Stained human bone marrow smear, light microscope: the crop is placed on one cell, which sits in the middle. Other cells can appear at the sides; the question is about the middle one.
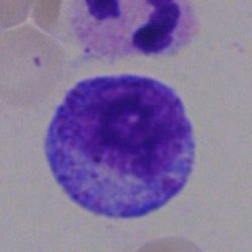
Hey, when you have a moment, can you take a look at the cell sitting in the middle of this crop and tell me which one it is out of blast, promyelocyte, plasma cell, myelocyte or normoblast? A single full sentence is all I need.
The centrally placed cell is classified as a promyelocyte.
